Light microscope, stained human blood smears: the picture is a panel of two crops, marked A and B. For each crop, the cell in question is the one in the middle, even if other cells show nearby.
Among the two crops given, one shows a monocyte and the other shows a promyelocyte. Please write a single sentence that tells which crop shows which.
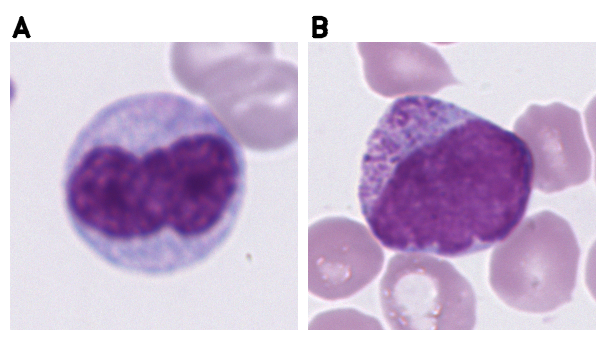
The cell in crop A is a monocyte; the cell in crop B is a promyelocyte.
